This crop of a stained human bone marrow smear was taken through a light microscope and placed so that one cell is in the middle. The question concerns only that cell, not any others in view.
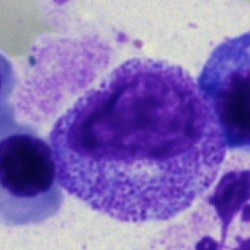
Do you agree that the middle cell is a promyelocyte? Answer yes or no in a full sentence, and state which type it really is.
No, it is a myelocyte and not a promyelocyte that occupies the middle of the crop.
